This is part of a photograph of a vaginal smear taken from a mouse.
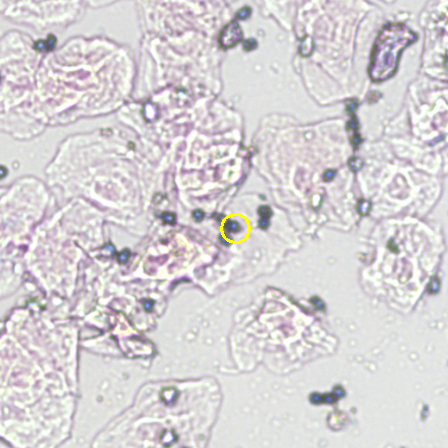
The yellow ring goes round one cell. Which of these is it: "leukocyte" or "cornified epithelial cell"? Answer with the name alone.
leukocyte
